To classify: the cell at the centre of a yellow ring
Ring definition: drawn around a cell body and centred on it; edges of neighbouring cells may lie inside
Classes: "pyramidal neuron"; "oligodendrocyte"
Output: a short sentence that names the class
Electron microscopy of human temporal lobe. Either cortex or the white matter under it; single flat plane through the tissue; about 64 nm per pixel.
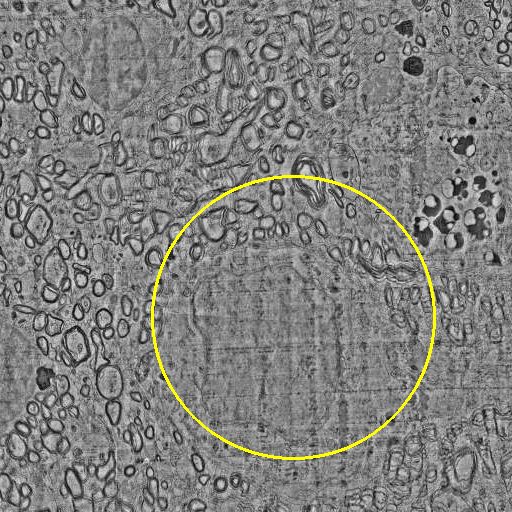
The ringed cell is a pyramidal neuron.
